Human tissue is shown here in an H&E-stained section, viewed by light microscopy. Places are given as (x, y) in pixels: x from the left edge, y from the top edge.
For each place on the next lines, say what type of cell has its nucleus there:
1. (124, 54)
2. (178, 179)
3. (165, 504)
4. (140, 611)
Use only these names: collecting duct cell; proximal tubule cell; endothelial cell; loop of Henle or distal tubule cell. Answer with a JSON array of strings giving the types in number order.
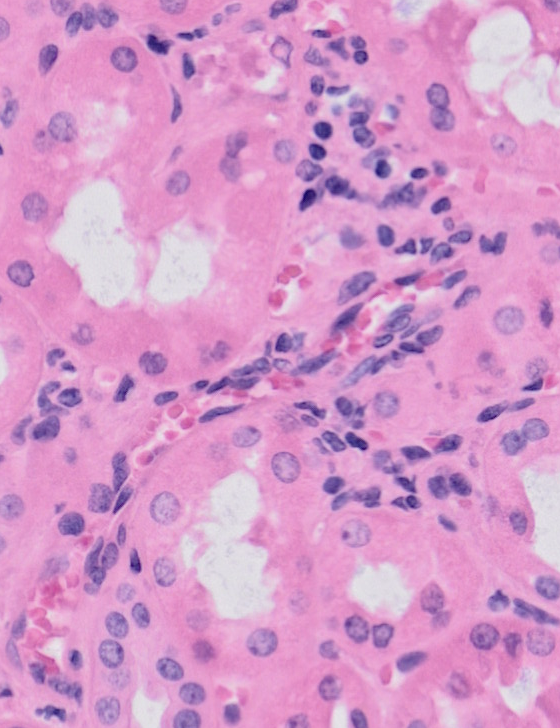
["proximal tubule cell", "proximal tubule cell", "proximal tubule cell", "collecting duct cell"]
